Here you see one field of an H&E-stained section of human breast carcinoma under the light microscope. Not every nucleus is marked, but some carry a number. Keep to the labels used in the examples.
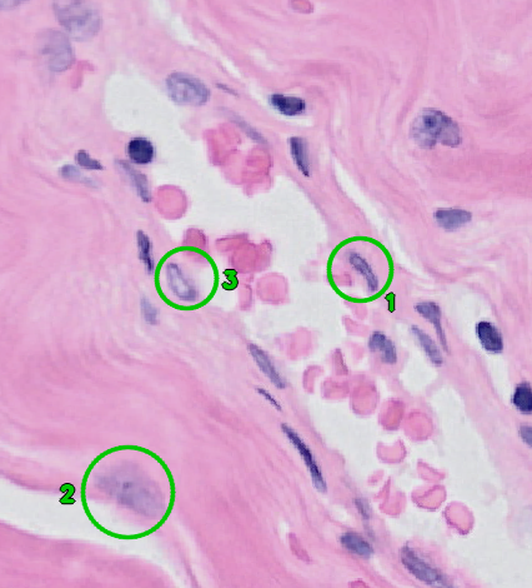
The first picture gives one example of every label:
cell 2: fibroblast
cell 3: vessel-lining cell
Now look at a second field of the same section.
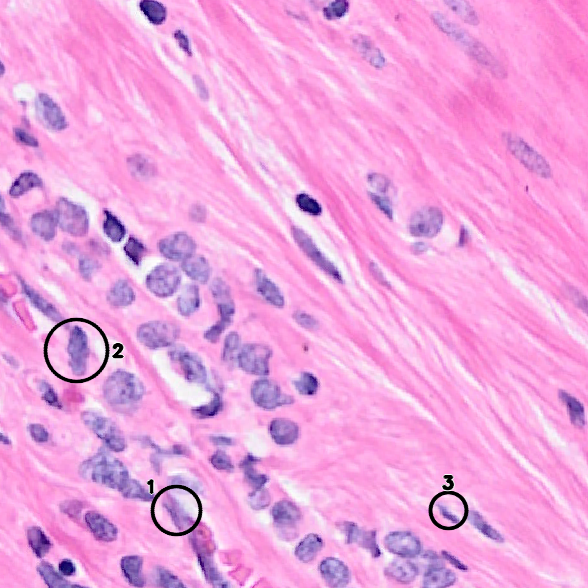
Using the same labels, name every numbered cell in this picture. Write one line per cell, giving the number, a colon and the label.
1: vessel-lining cell
2: vessel-lining cell
3: fibroblast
